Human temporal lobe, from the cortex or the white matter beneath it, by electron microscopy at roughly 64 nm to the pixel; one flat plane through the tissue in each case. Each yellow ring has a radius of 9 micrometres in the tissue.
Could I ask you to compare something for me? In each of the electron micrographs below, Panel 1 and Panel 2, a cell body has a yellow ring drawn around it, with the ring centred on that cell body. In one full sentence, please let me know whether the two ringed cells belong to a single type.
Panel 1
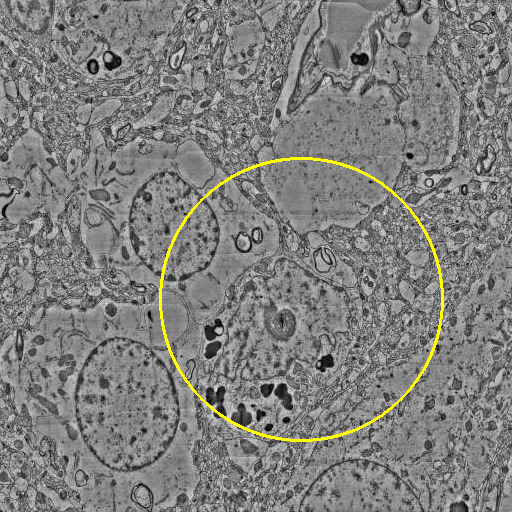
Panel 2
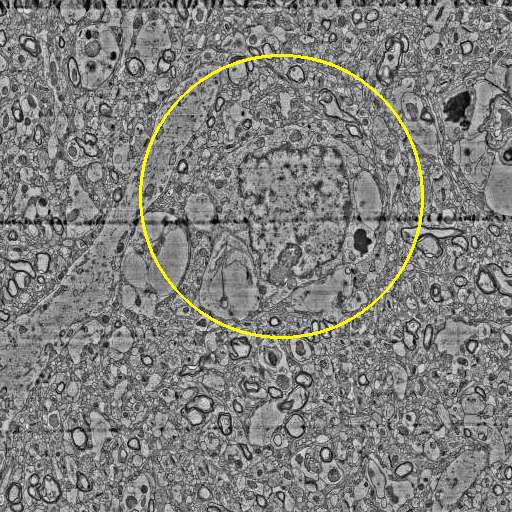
Yes, the two cells at the centres of the rings are of one type.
